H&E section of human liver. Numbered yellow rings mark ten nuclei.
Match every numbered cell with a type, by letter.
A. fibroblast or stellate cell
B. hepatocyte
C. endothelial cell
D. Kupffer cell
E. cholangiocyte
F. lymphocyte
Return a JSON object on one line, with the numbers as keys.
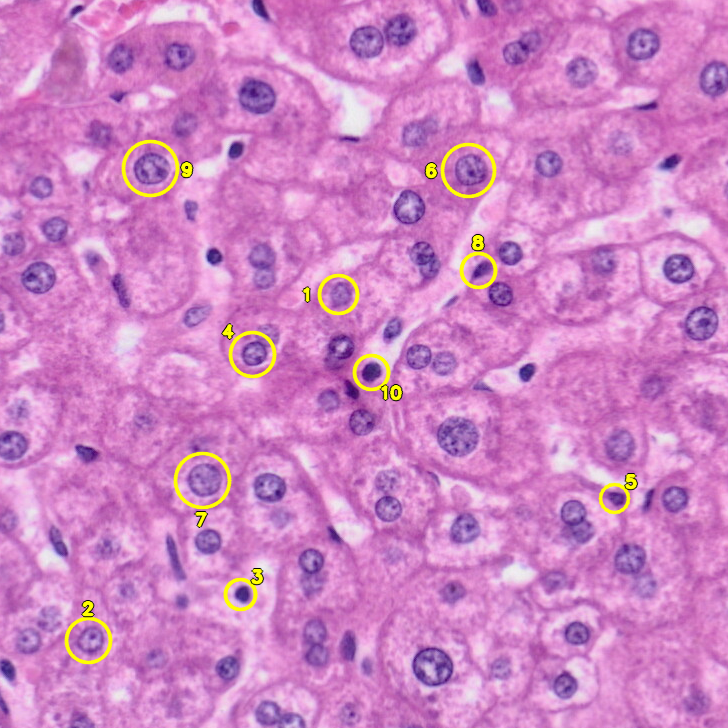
{"1": "B", "2": "B", "3": "F", "4": "B", "5": "D", "6": "B", "7": "B", "8": "A", "9": "B", "10": "F"}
